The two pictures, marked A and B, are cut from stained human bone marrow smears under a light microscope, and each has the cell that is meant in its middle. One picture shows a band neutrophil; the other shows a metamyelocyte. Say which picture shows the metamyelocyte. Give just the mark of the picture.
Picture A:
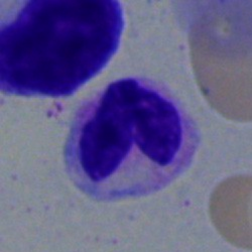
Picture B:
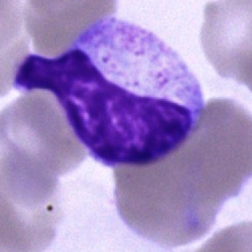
B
